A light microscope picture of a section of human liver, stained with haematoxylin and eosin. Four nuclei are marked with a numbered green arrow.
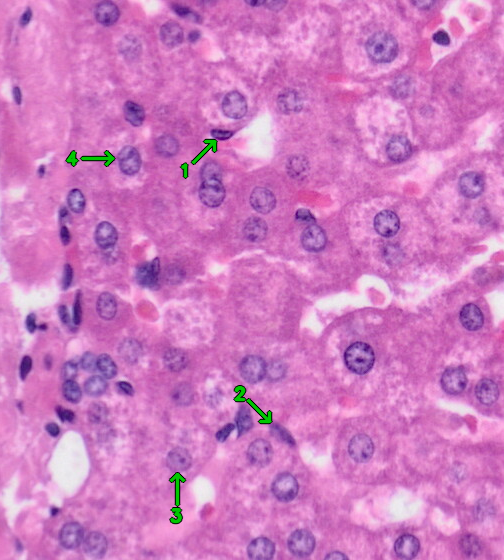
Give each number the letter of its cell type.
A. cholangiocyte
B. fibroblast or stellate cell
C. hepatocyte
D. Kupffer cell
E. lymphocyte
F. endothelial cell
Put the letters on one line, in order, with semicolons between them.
B; B; C; C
